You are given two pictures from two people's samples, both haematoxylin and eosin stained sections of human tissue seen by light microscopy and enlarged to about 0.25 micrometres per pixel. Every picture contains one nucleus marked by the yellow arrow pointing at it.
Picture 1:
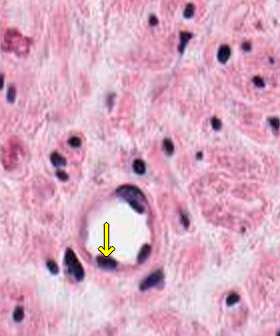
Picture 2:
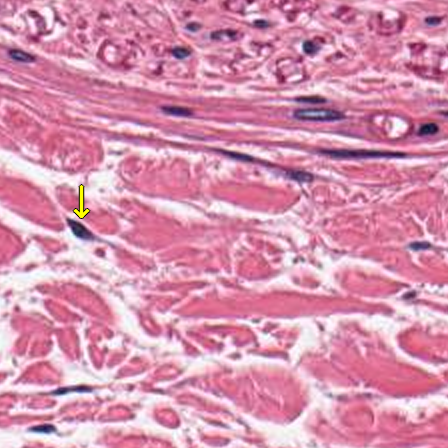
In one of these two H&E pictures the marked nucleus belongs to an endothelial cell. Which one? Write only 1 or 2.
1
